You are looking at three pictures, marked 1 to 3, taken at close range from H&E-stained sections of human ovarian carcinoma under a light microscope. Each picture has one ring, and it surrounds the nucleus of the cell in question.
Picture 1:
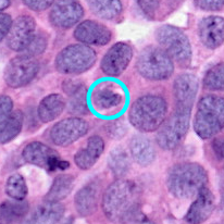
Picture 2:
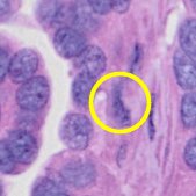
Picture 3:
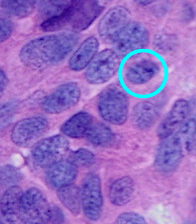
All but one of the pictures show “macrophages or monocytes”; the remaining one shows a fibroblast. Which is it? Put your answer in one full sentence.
The cell in picture 2 is the fibroblast.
